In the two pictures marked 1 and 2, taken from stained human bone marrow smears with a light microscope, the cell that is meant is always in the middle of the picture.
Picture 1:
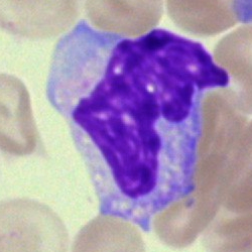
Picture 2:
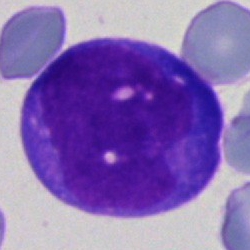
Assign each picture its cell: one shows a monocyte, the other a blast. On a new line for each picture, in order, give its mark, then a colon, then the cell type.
1: monocyte
2: blast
